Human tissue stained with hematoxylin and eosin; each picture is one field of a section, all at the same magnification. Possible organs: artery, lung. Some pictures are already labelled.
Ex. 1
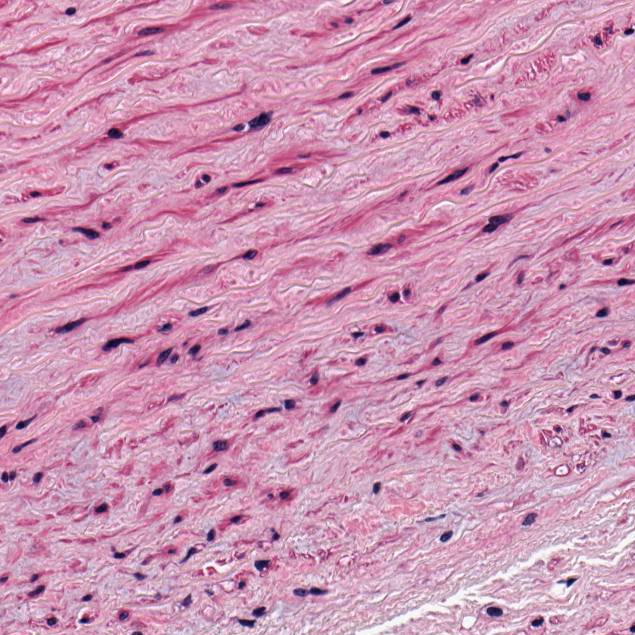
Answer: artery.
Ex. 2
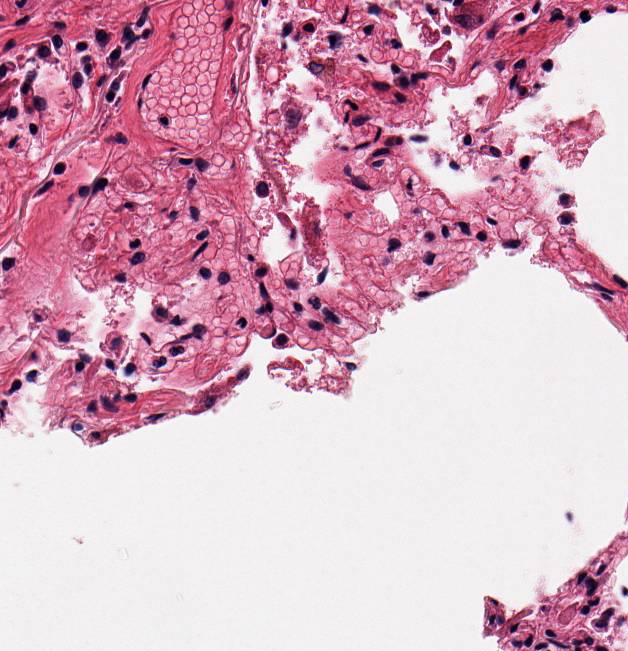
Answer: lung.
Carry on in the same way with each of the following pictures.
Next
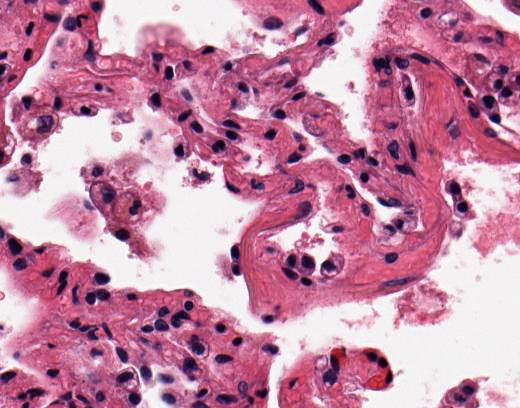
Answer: lung.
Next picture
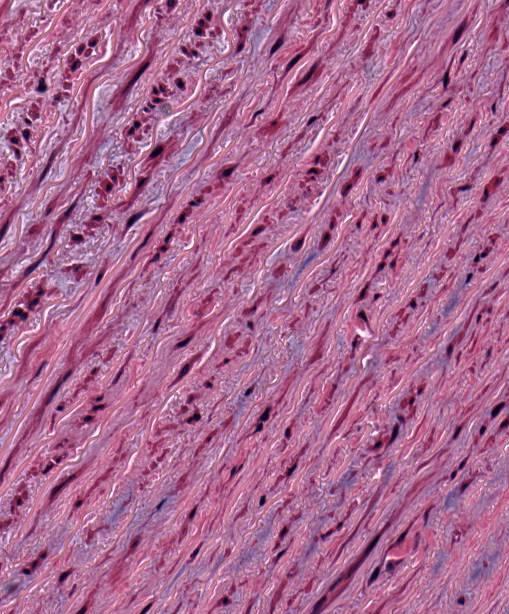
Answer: artery.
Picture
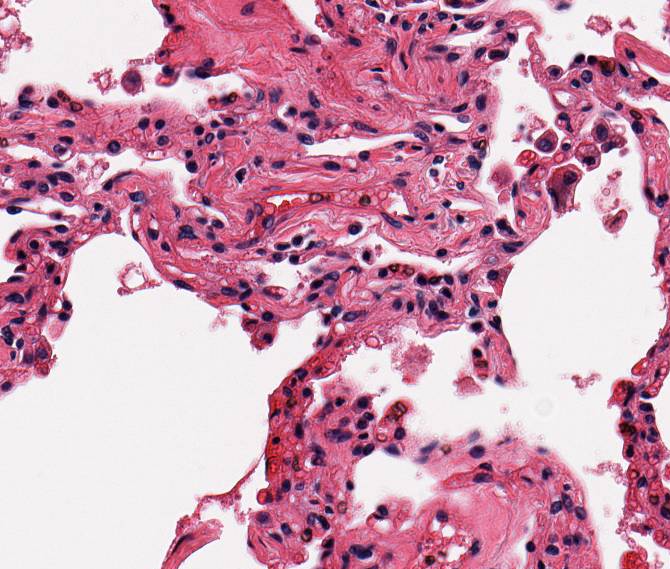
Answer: lung.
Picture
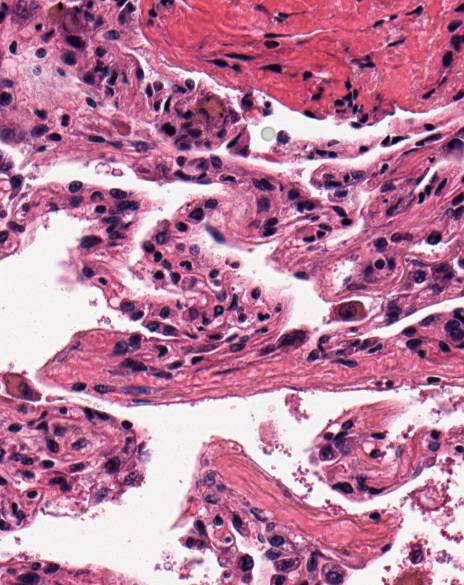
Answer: lung.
